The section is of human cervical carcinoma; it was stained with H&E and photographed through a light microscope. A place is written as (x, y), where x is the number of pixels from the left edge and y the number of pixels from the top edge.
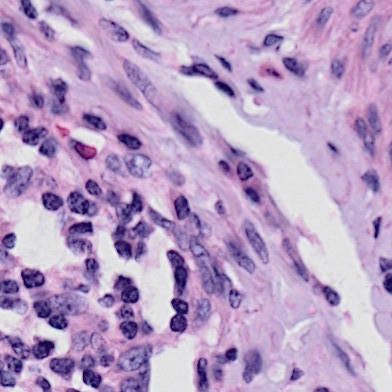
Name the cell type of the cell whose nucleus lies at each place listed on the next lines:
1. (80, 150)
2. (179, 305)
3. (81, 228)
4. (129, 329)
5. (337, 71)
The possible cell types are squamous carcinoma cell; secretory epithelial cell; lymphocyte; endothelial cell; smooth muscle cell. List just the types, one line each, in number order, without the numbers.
endothelial cell
lymphocyte
lymphocyte
lymphocyte
smooth muscle cell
